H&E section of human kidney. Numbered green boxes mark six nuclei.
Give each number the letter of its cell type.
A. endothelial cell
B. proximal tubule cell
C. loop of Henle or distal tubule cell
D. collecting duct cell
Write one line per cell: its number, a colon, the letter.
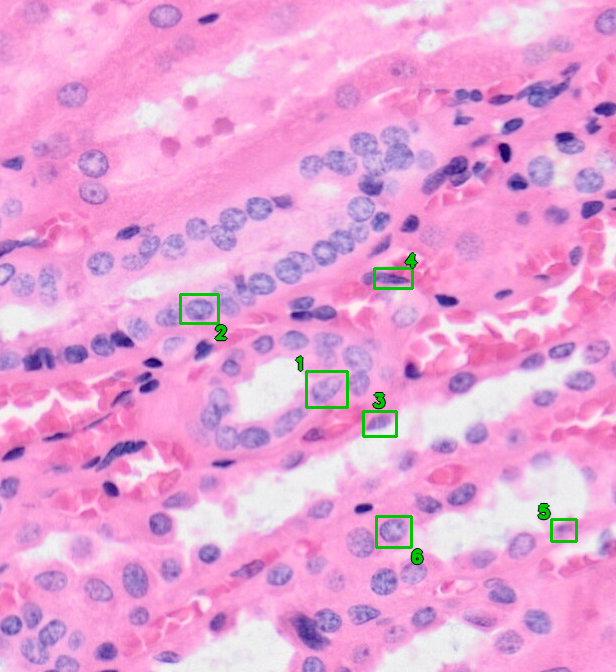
1: D
2: D
3: C
4: A
5: C
6: C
